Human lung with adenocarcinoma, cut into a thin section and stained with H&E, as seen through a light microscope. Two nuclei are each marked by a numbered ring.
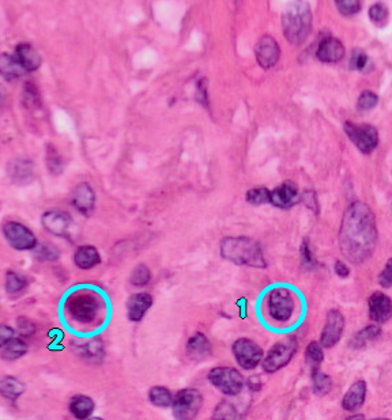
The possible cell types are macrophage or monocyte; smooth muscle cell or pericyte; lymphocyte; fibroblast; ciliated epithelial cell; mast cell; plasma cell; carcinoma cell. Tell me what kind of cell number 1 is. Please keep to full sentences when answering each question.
Corresponding to a lymphocyte is the cell labelled 1.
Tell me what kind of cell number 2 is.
Identified by the number 2, the cell is a plasma cell.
